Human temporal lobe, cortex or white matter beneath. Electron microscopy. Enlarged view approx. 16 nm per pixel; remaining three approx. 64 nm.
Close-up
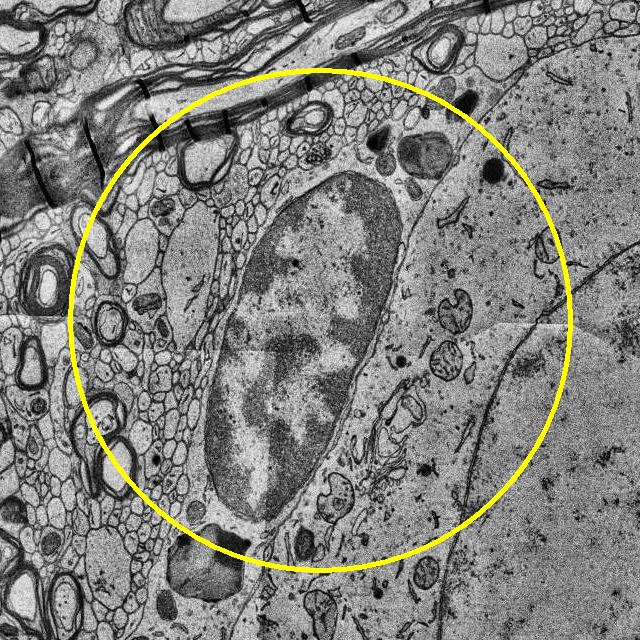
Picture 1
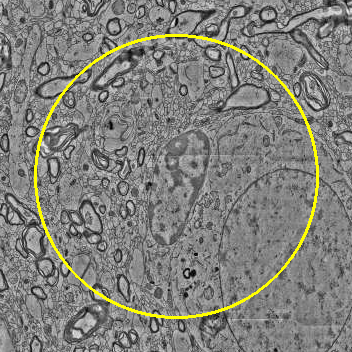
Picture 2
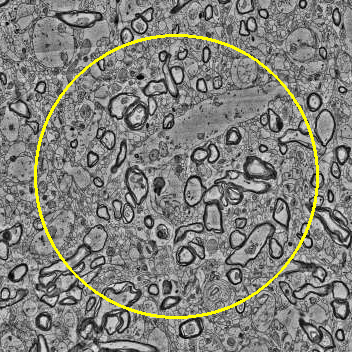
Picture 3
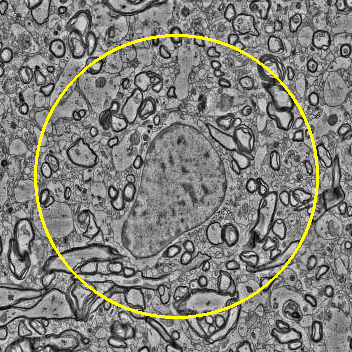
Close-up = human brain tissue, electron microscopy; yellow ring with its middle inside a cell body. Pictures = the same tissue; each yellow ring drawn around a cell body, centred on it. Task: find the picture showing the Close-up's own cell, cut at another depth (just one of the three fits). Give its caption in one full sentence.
The higher magnification view shows the cell circled in Picture 1.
